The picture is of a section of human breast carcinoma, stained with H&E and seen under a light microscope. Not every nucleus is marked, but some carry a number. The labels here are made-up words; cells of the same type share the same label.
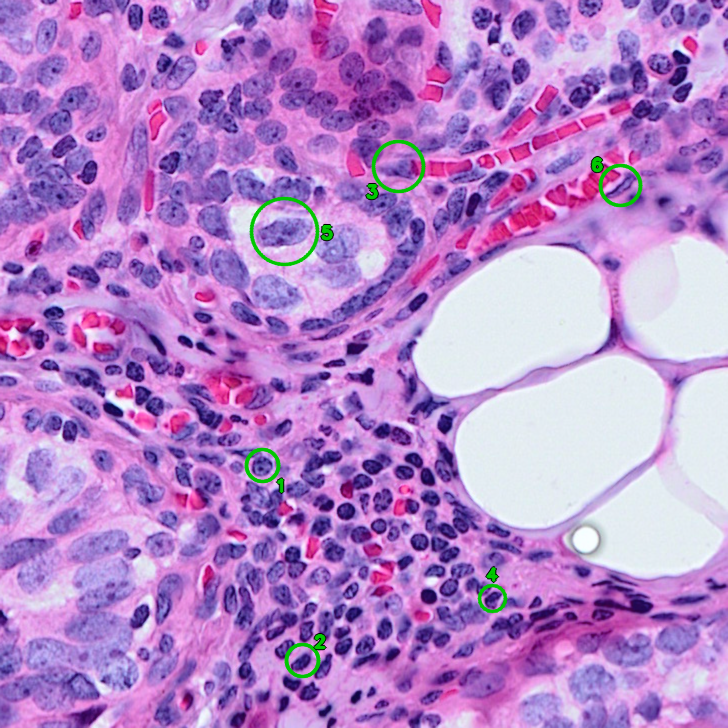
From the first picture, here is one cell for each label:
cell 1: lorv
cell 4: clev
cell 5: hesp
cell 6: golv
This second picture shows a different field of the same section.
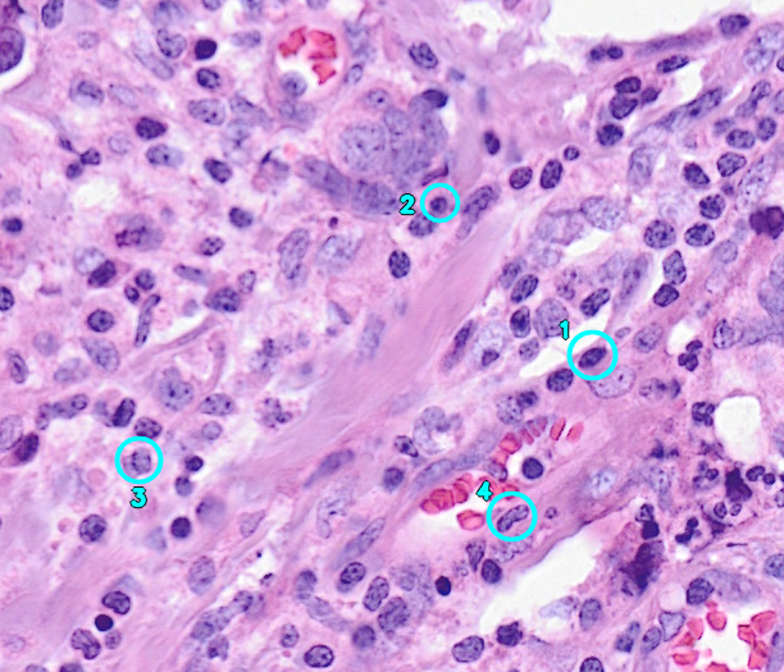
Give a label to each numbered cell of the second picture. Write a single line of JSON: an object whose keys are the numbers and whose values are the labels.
{"1": "clev", "2": "clev", "3": "lorv", "4": "golv"}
